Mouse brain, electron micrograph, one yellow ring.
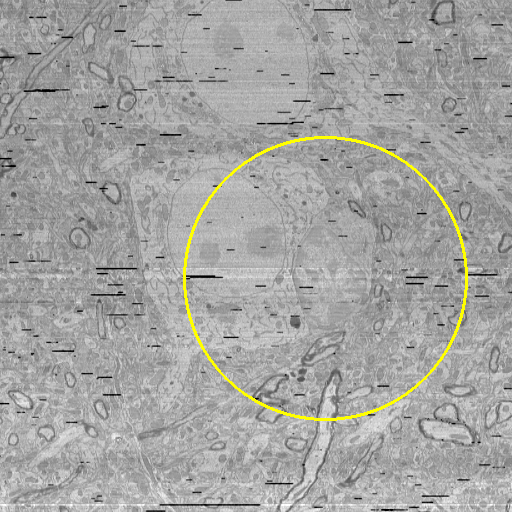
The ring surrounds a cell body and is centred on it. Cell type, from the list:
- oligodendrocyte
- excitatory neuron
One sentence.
The yellow ring circles an oligodendrocyte.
